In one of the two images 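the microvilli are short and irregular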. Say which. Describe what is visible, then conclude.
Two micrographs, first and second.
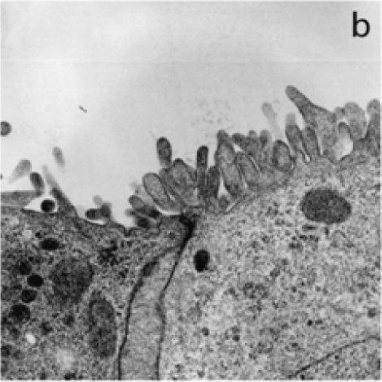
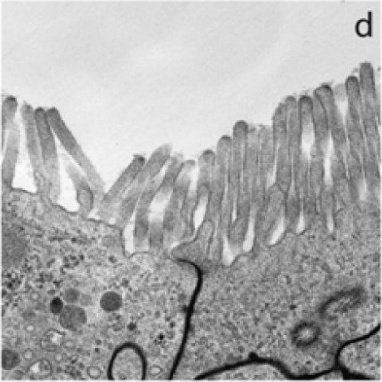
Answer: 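The first image. Second image: long, slender, closely packed parallel projections on the apical surface. First image: short, uneven, sparse projections of varying shape on the apical surface.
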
